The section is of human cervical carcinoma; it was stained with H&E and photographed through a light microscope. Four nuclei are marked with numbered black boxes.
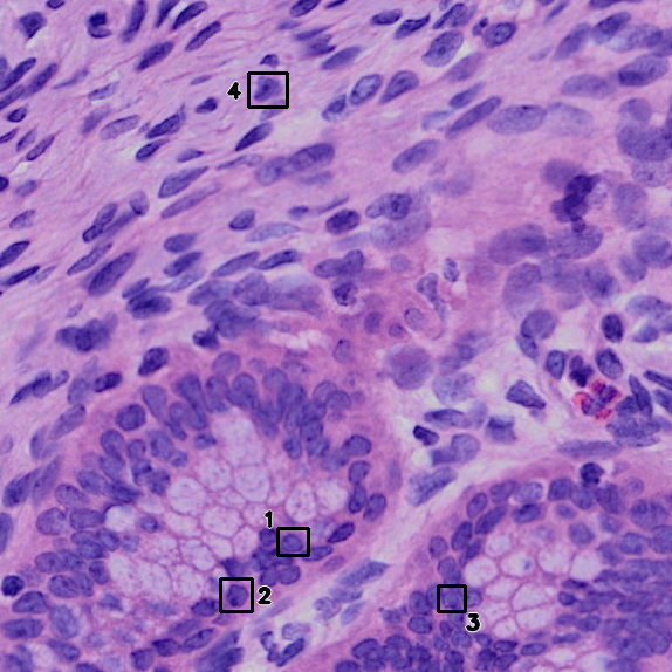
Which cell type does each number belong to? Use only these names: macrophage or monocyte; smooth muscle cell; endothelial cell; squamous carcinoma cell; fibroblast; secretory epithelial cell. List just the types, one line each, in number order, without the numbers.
secretory epithelial cell
secretory epithelial cell
secretory epithelial cell
fibroblast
